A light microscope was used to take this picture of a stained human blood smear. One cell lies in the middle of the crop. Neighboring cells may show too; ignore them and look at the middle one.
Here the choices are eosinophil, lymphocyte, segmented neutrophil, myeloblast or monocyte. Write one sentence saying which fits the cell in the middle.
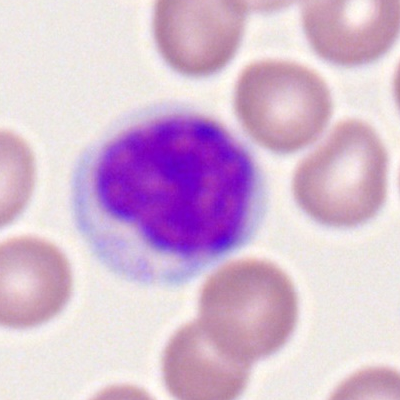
Seen at the centre of the crop is a lymphocyte.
